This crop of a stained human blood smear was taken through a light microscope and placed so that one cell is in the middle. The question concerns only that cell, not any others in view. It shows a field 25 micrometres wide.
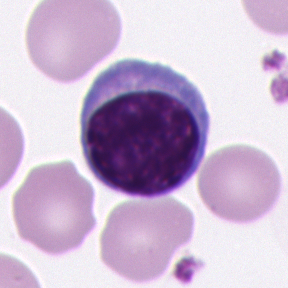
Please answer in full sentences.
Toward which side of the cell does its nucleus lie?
The nucleus is pushed toward the bottom of the cell.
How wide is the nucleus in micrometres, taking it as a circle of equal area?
It measures about 9 micrometres across.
